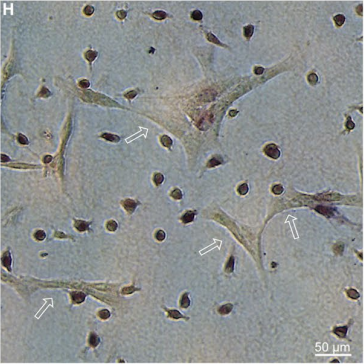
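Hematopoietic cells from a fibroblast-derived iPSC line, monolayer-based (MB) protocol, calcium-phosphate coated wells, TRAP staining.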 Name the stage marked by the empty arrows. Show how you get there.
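The arrowed cells are flat with several long tapering extensions radiating outwards. They are larger than the small round cells scattered around them.
Answer: stellar-like cell morphology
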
